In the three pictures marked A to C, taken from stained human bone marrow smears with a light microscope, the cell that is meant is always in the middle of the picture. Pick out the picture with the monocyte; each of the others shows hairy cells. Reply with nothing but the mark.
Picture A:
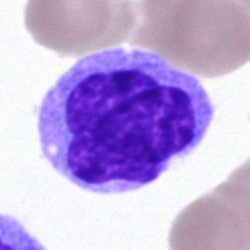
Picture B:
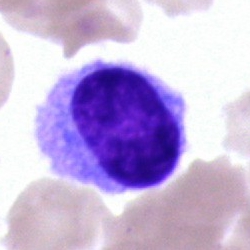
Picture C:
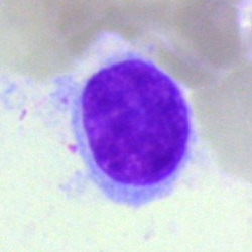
A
